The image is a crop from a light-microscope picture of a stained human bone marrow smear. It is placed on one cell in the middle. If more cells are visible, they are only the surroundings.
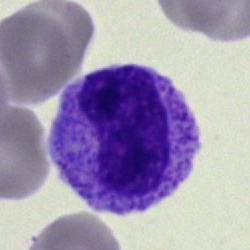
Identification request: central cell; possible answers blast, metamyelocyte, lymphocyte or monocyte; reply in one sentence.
Classification of the middle cell gives a metamyelocyte.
